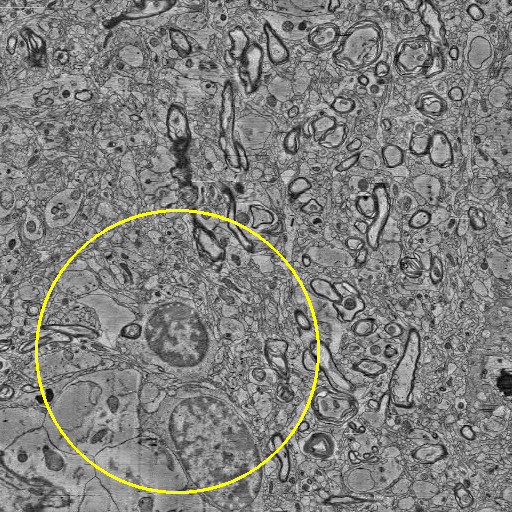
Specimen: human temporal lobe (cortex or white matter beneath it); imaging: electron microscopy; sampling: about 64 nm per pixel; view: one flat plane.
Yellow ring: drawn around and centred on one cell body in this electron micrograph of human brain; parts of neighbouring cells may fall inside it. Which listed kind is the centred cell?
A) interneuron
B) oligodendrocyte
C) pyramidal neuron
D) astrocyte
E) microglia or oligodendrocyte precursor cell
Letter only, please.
B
